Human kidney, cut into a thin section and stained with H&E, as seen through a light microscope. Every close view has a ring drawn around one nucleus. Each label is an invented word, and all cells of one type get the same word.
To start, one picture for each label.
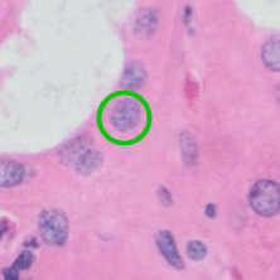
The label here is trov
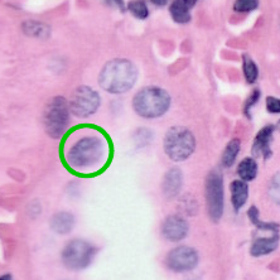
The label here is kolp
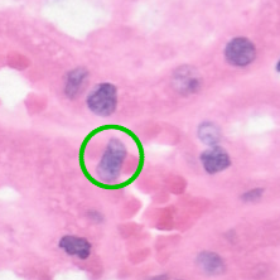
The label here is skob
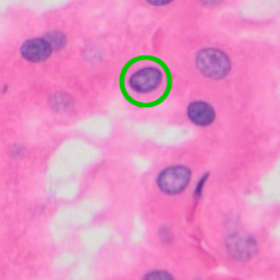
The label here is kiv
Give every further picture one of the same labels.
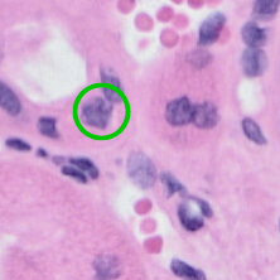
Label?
kolp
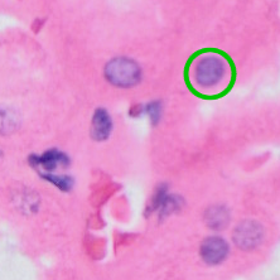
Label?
kiv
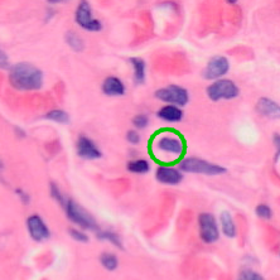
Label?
skob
